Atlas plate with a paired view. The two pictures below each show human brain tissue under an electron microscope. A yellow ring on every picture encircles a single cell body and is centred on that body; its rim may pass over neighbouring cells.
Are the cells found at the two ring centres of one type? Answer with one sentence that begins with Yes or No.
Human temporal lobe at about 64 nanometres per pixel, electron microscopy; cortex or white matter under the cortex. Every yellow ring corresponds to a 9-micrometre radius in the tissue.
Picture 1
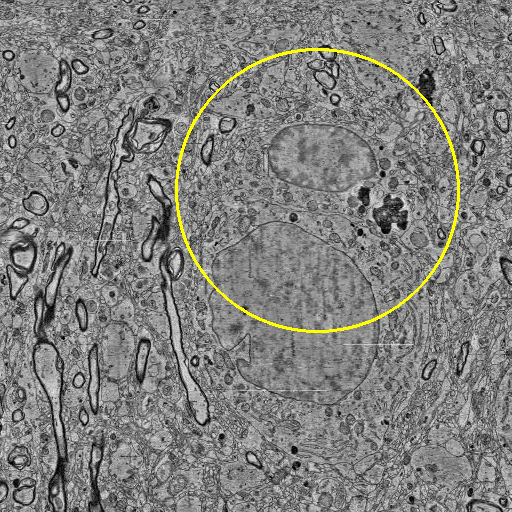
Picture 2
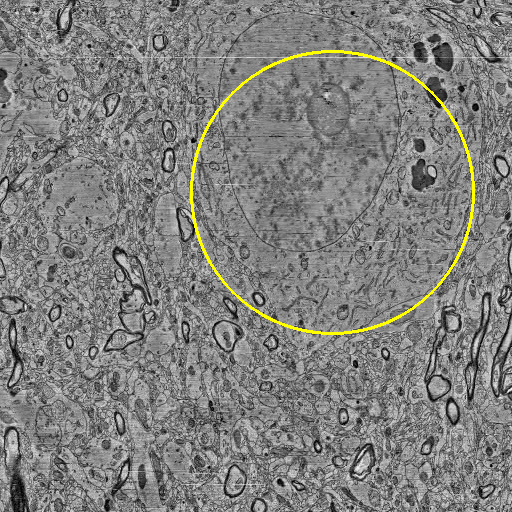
No, the two cells lying at the centres of the rings are of two types.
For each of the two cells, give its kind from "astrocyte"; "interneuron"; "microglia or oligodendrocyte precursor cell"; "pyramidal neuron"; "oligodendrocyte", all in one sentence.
The first picture has an oligodendrocyte in its ring, the second has a pyramidal neuron.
